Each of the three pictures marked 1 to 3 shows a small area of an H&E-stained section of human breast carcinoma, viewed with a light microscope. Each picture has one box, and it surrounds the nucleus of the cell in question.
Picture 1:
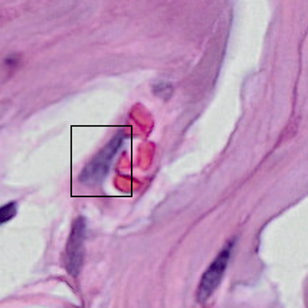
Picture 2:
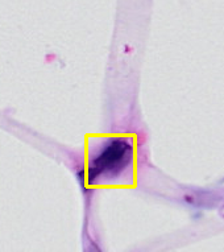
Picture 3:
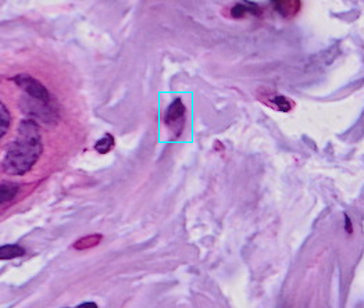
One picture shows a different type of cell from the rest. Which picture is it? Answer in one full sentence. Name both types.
The others show endothelial cells, but picture 3 shows a fibroblast.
